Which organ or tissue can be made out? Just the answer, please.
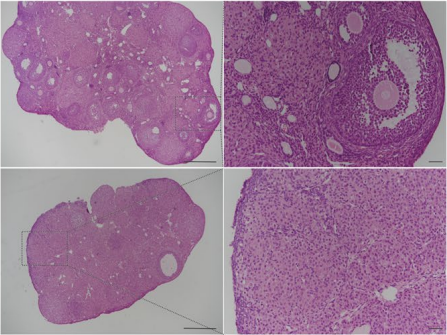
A: ovary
